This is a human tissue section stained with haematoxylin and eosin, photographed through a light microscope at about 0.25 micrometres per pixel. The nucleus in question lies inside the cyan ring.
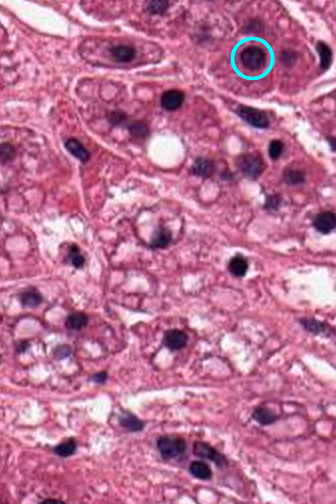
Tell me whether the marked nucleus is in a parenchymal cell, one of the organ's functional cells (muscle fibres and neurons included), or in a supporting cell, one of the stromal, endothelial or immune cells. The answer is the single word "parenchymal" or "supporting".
parenchymal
